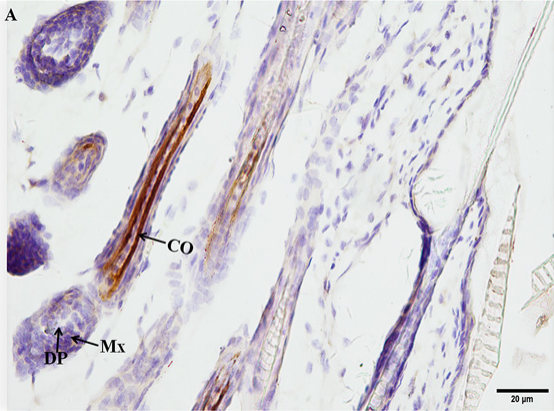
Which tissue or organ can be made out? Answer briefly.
Hair follicles.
